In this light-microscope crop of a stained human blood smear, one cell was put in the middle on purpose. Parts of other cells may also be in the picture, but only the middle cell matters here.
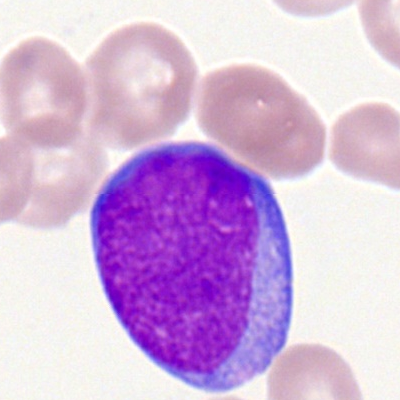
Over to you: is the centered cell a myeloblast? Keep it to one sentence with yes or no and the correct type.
Yes, the cell at the middle of the frame is a myeloblast.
